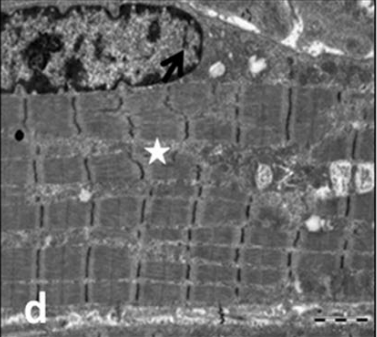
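This is a skeletal muscle fibre cut along its length, with a flattened nucleus at the edge of the fibre near the top. Its dense chromatin clumps along the nuclear envelope. Below the nucleus, the myofibrils are divided into sarcomeres by dark Z lines. In places these lines are uneven, smeared or out of step between neighbouring myofibrils, so the sarcomeres do not line up neatly.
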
